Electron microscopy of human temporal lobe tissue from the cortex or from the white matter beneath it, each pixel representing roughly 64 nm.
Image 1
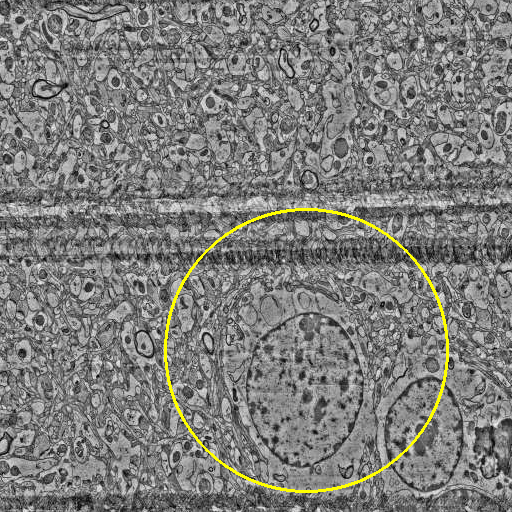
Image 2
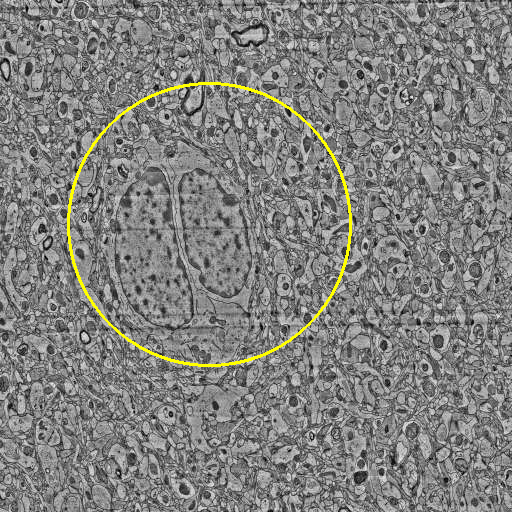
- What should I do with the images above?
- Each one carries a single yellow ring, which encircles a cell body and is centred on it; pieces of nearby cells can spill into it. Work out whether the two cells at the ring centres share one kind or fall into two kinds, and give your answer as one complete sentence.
The ring-centre cells of Image 1 and Image 2 fall into two kinds.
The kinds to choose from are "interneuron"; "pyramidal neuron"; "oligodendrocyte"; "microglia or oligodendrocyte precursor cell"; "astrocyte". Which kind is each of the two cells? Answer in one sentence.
Of the two, the first cell is an astrocyte and the second cell is a microglial cell or oligodendrocyte precursor cell.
